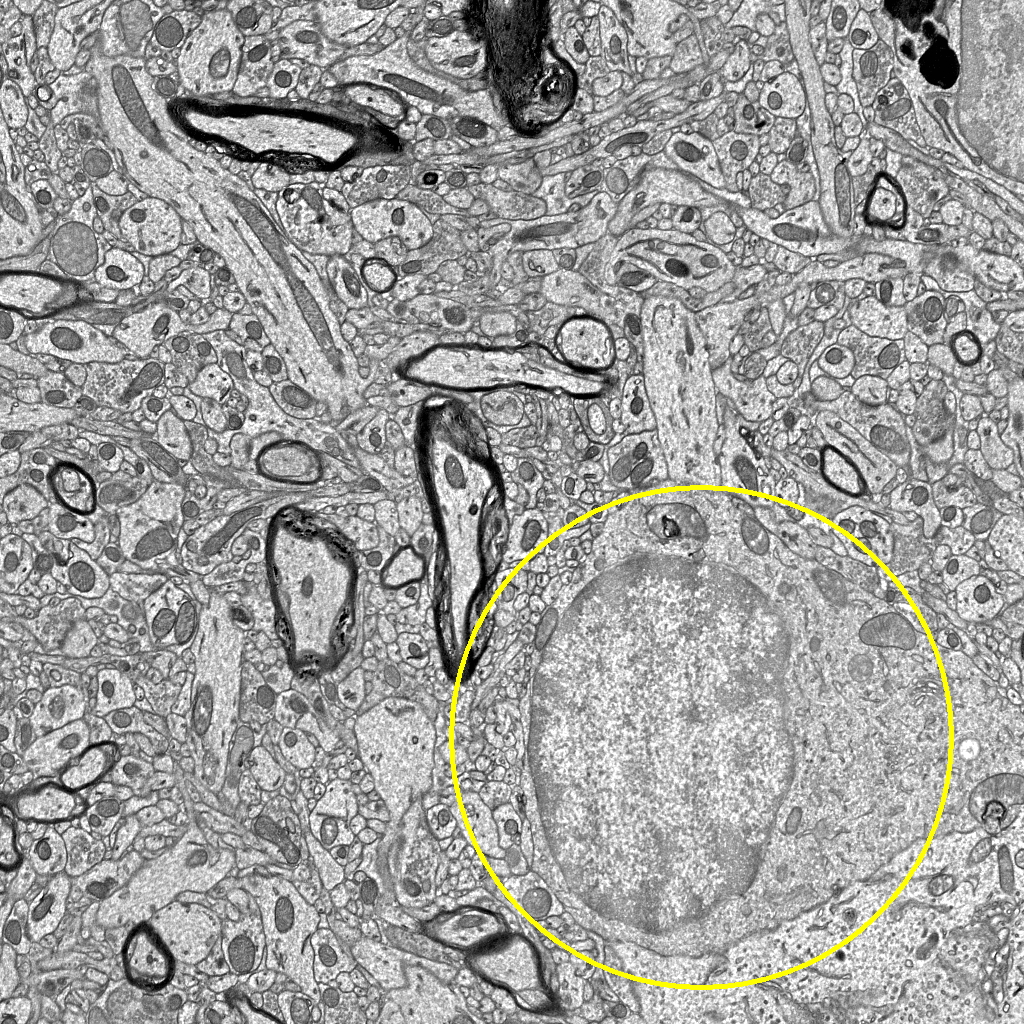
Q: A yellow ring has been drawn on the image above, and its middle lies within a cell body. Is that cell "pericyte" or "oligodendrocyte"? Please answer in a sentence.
The ring's middle lies in the cell body of an oligodendrocyte.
